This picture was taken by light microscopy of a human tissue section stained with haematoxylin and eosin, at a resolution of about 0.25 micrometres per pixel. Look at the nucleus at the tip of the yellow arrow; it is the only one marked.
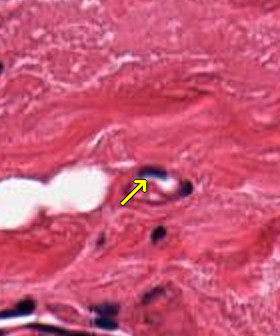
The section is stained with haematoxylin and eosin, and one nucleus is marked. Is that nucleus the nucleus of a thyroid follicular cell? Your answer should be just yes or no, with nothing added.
no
